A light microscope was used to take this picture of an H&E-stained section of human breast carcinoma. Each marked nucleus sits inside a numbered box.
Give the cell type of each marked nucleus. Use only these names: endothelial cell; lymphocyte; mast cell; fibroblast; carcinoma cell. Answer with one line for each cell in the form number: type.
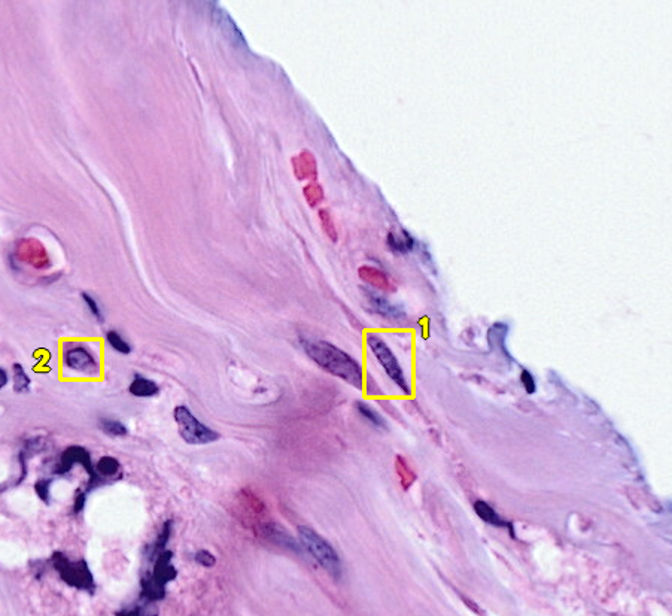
1: fibroblast
2: mast cell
